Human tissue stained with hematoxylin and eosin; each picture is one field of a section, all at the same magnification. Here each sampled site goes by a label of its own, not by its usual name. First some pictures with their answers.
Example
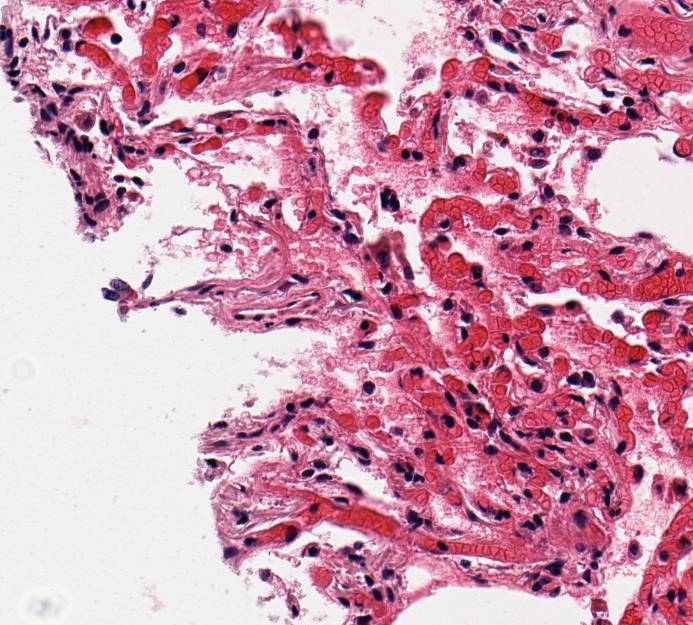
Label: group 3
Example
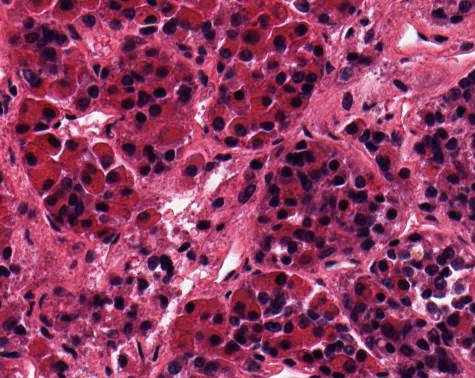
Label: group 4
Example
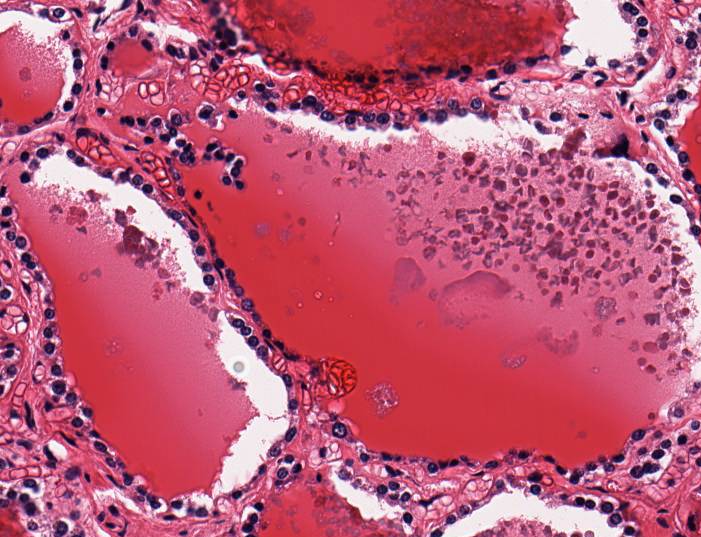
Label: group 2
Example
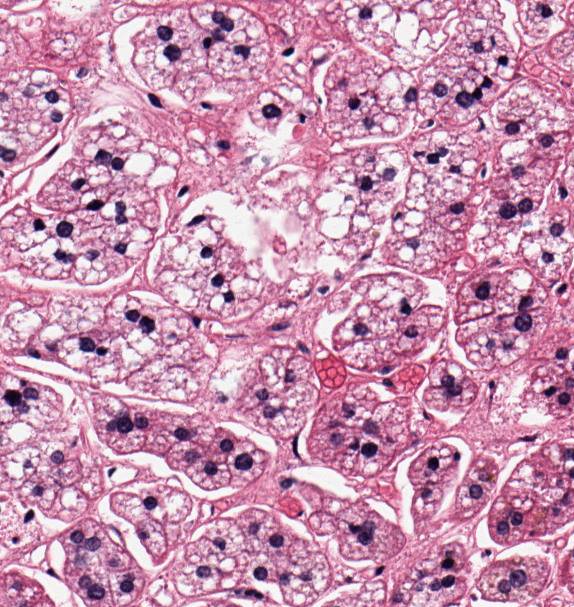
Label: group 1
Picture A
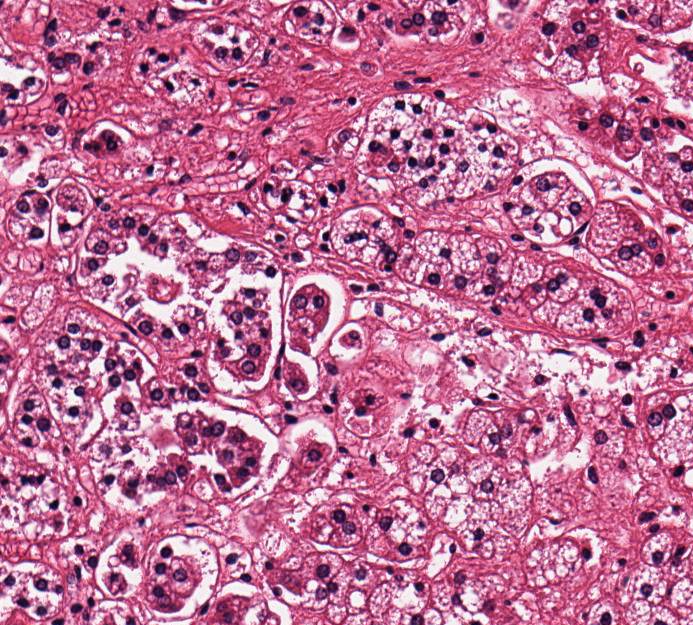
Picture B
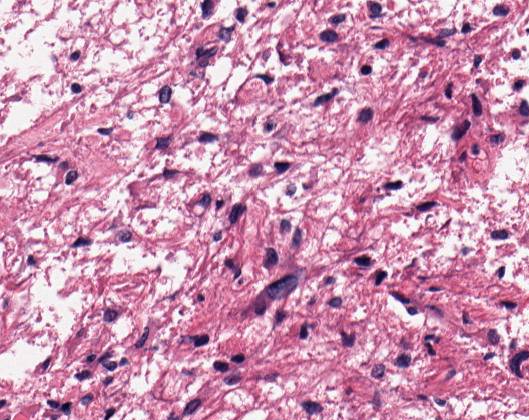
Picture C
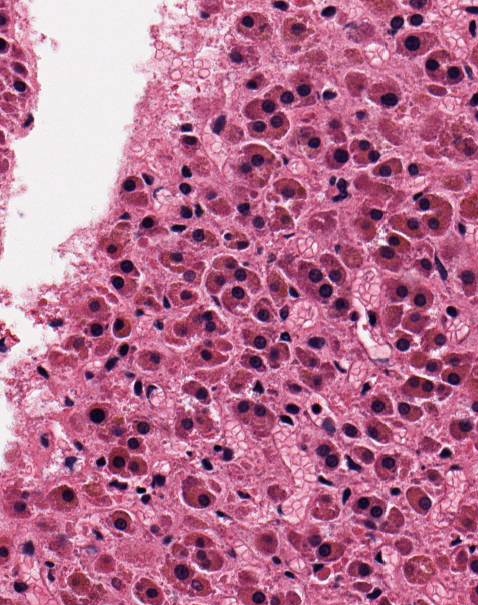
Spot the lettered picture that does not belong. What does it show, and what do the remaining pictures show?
Different: B, group 4. Others: group 1.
